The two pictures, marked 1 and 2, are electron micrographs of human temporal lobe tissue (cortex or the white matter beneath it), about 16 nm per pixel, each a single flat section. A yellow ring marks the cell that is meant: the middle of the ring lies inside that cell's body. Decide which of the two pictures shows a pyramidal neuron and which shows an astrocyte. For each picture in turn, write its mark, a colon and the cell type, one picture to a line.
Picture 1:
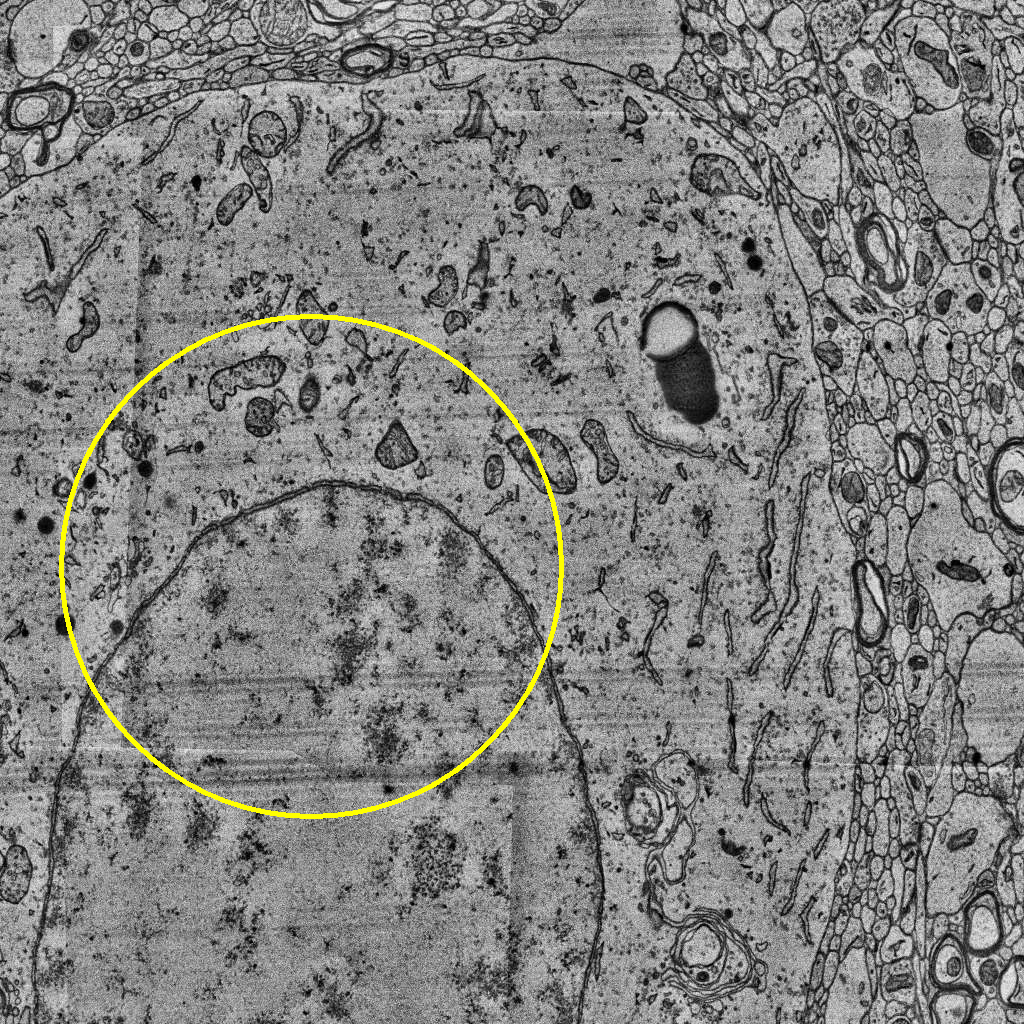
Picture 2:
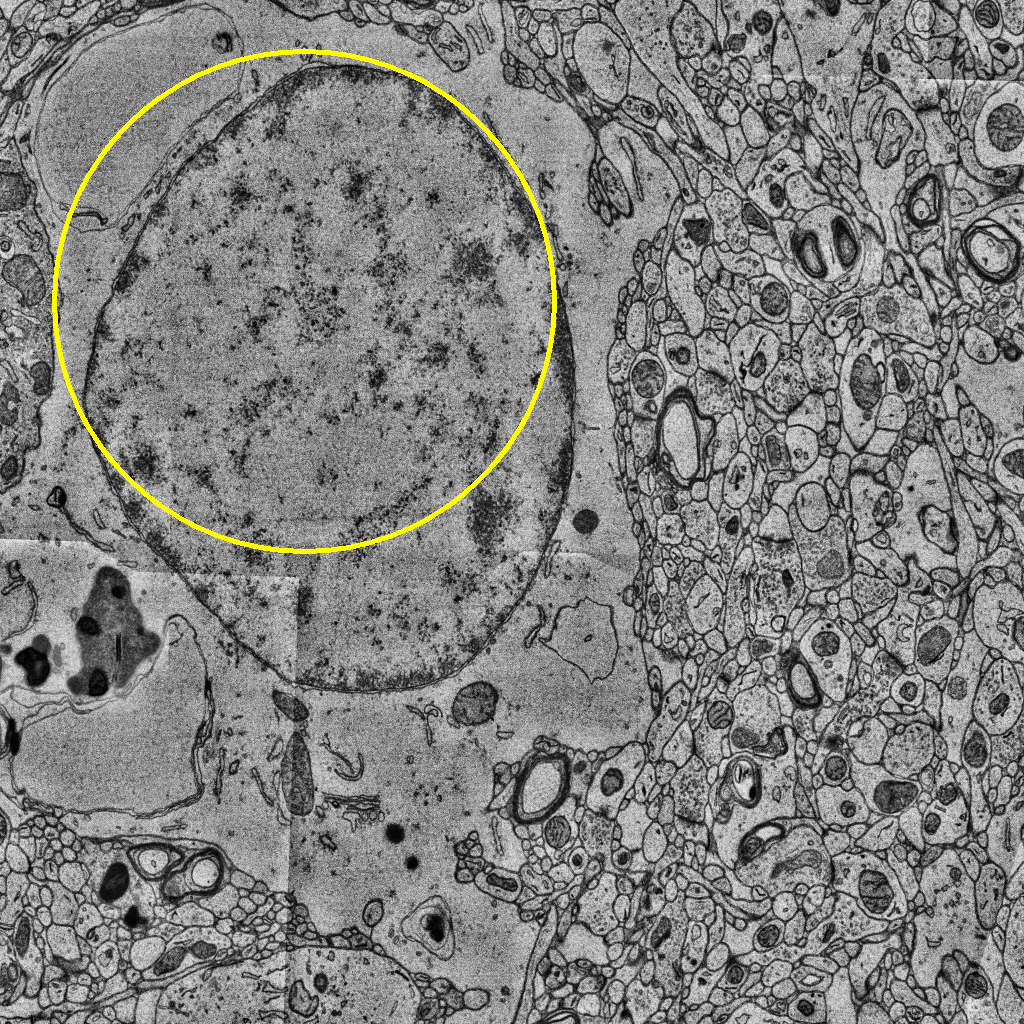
1: pyramidal neuron
2: astrocyte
